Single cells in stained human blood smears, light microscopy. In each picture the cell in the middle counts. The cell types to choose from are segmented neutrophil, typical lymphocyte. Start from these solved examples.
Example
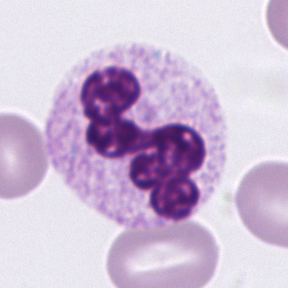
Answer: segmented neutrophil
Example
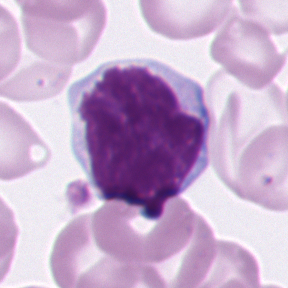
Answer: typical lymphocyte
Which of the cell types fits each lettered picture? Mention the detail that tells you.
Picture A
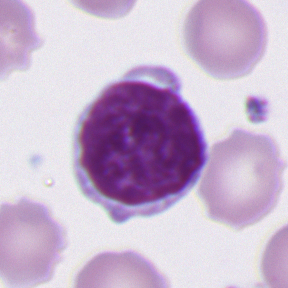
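Label: typical lymphocyte. The cytoplasm is a narrow rim of very pale lavender-blue.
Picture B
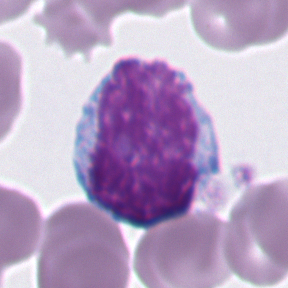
Label: typical lymphocyte. The cytoplasm forms only a narrow rim around the nucleus.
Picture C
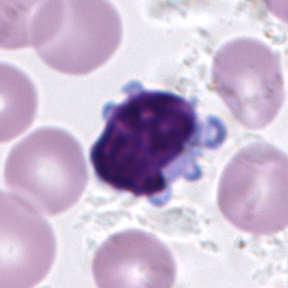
Label: typical lymphocyte. The cytoplasm is a scant rim, widest on the right side of the cell.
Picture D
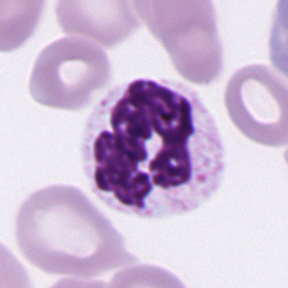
Label: segmented neutrophil. The nucleus is divided into more than two lobes.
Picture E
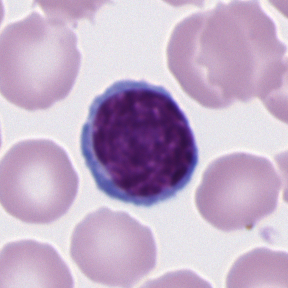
Label: typical lymphocyte. The cytoplasm forms a narrow blue rim around the nucleus.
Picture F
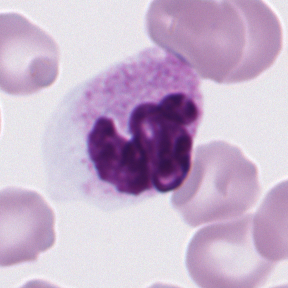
Label: segmented neutrophil. The cytoplasm is plentiful and pale pinkish-lilac.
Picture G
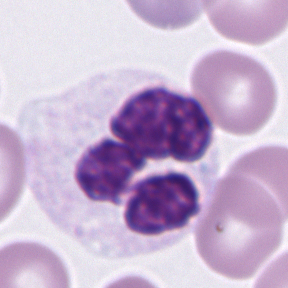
Label: segmented neutrophil. The nucleus is split into three separate lobes.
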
